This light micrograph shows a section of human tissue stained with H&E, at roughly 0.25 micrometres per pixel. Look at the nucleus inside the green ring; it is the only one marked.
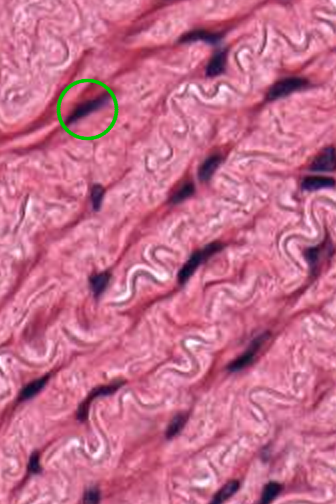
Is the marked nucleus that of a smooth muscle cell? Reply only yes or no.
yes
